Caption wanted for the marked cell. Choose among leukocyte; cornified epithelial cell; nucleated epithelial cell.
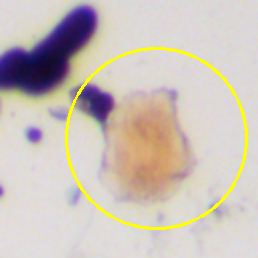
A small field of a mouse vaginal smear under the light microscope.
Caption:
Ringed in yellow is a cornified epithelial cell.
